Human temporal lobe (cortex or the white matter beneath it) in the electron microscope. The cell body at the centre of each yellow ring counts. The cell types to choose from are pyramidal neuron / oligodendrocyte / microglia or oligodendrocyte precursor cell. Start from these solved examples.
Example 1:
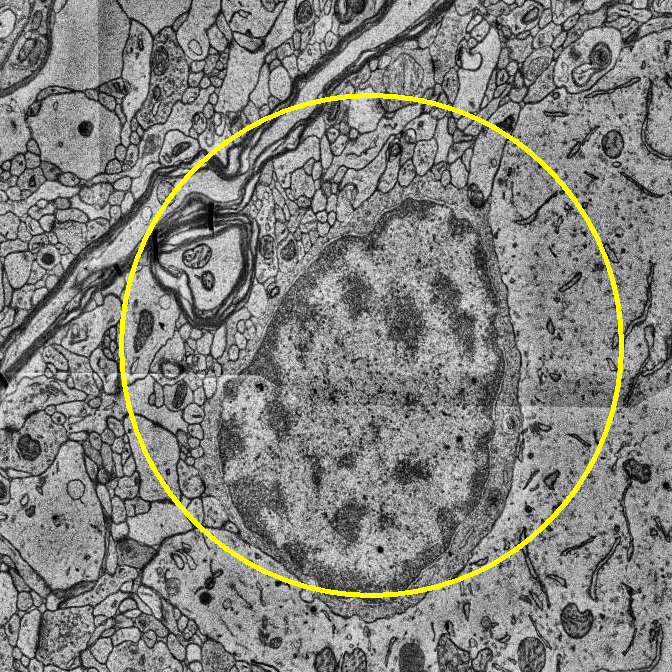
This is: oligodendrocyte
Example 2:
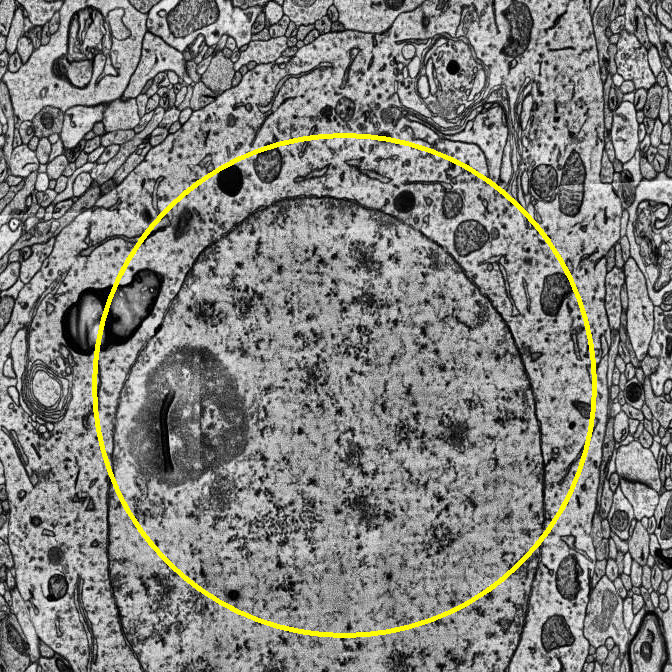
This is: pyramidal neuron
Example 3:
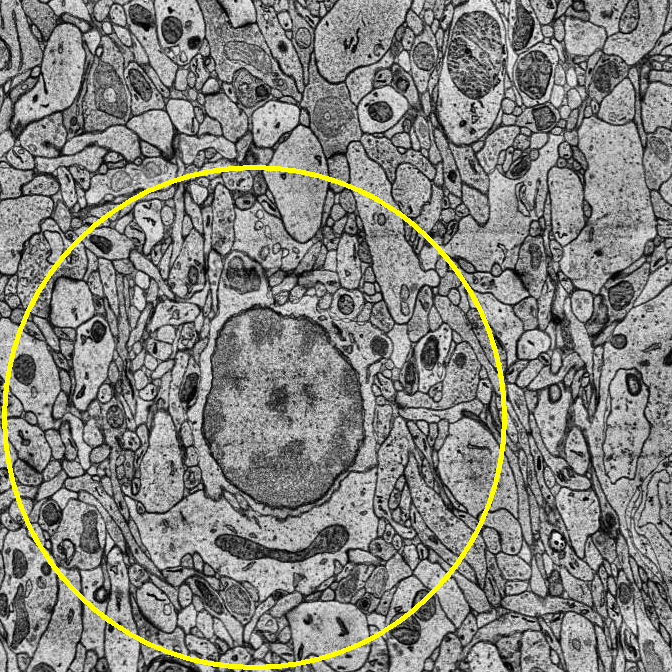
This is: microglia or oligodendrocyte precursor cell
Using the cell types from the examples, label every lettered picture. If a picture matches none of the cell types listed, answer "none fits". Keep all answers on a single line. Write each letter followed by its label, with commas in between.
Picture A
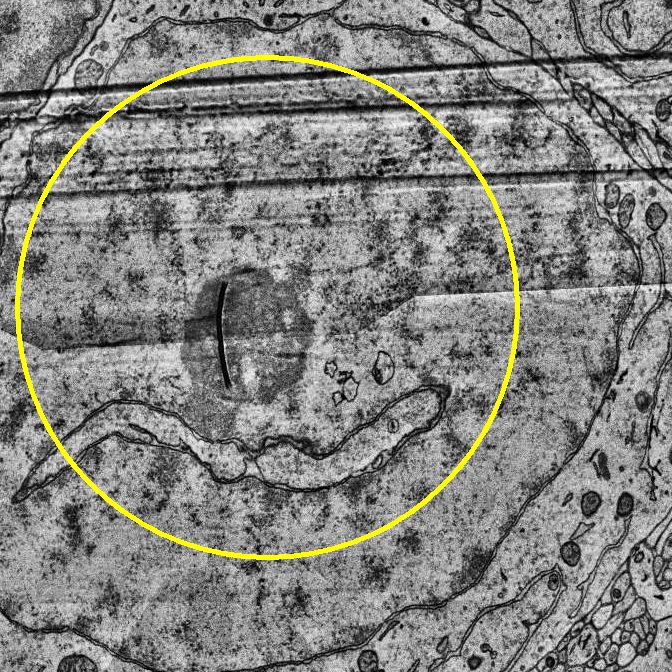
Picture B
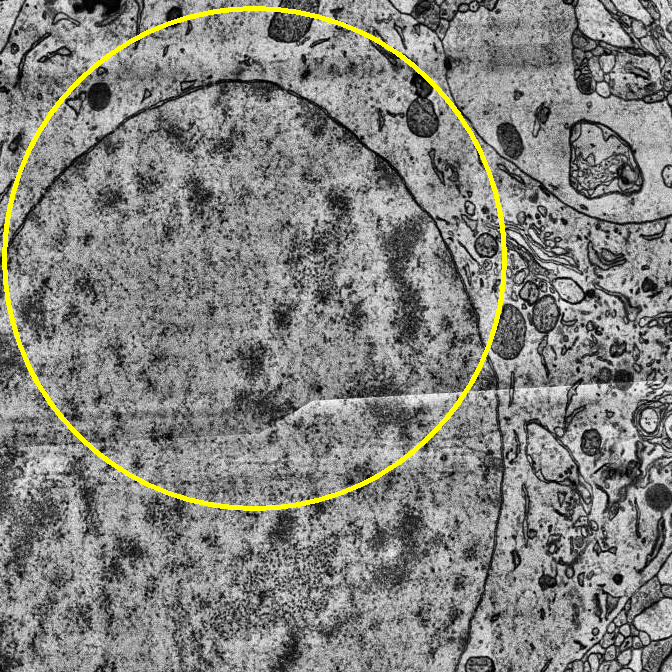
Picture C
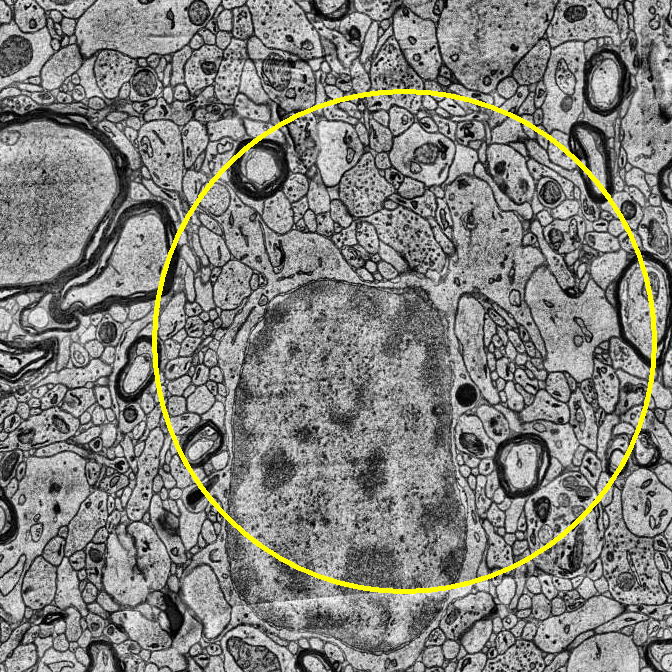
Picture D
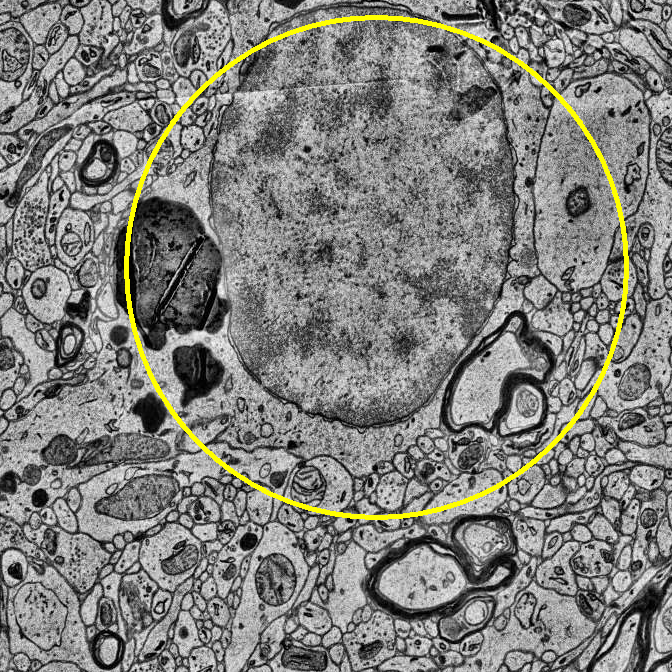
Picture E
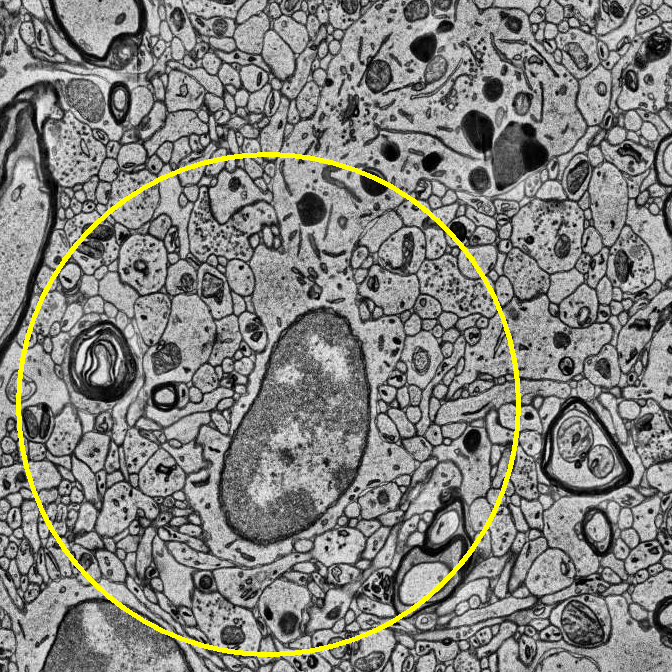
A none fits, B pyramidal neuron, C microglia or oligodendrocyte precursor cell, D oligodendrocyte, E microglia or oligodendrocyte precursor cell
